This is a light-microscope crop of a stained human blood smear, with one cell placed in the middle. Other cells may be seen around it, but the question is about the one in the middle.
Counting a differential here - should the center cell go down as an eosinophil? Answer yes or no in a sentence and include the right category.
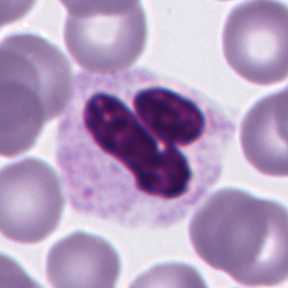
No, a neutrophil, not an eosinophil, is what sits in the centre of the crop.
